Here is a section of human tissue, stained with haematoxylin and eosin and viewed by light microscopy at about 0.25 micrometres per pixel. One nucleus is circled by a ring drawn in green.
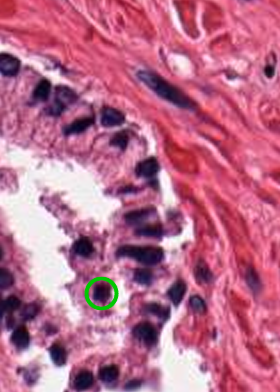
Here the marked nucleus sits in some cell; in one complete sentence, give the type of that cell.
In the section shown, the marked nucleus belongs to a prostate gland luminal cell.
